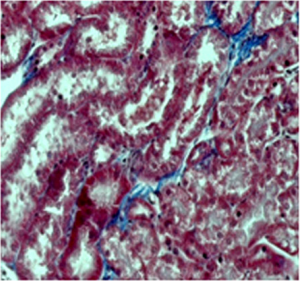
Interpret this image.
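This section shows closely packed tubules lined by epithelial cells whose cytoplasm stains red to purple around pale, open lumens. The tubules are cut in long and cross section and look somewhat irregular and widened.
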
